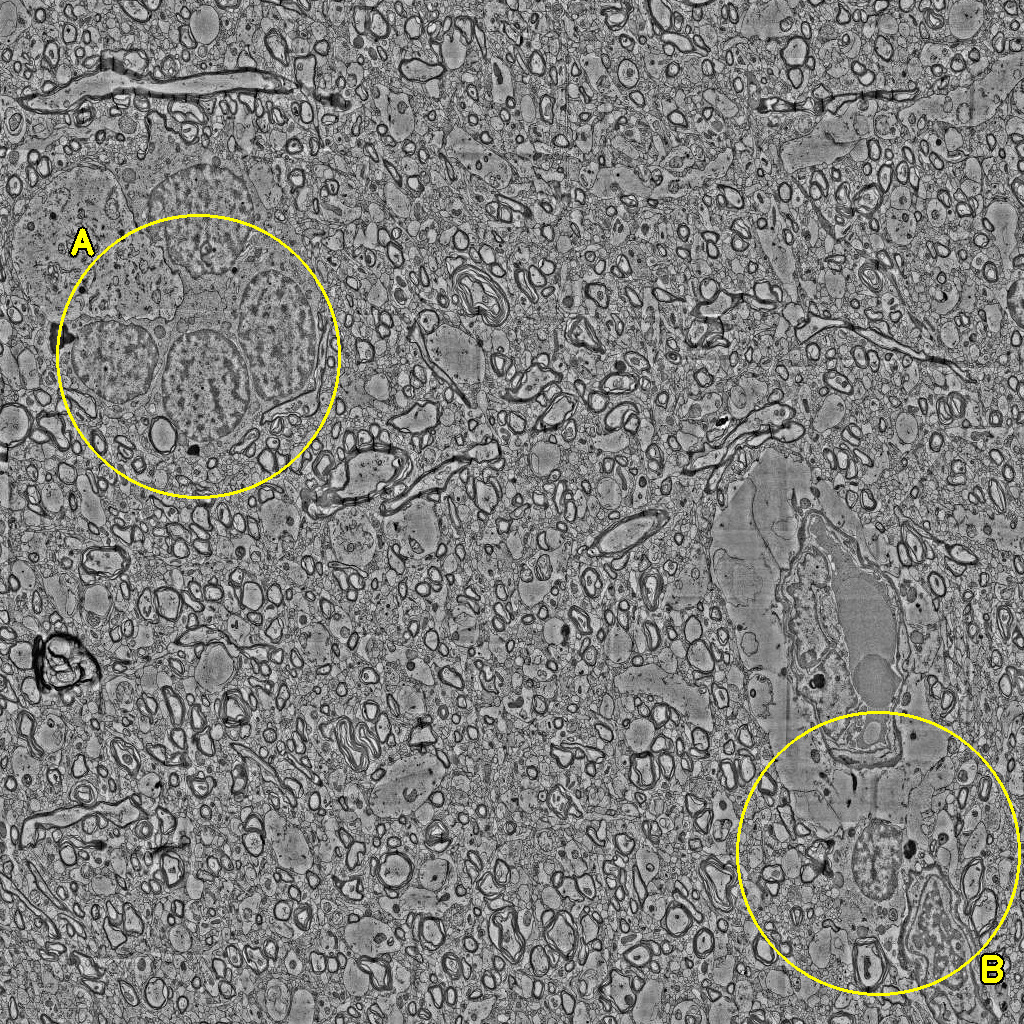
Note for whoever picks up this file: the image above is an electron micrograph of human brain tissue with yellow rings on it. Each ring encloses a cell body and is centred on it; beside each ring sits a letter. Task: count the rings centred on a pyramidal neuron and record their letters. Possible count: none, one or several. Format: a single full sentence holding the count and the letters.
Not even one of the lettered rings is centred on a pyramidal neuron, so the count is zero.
